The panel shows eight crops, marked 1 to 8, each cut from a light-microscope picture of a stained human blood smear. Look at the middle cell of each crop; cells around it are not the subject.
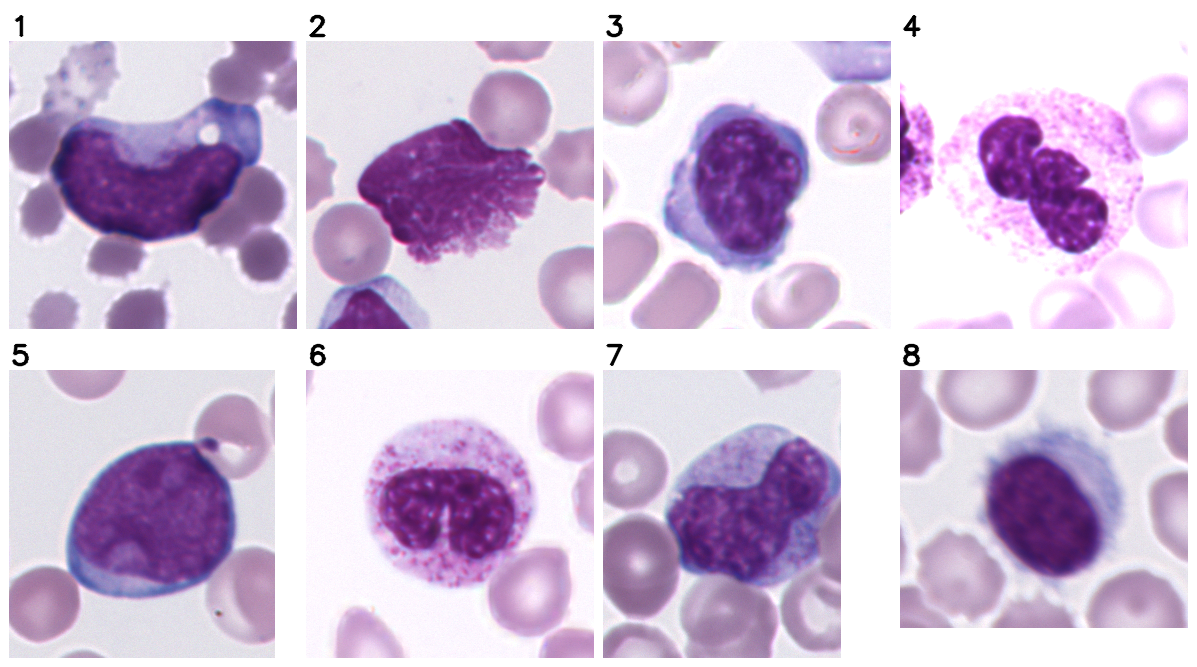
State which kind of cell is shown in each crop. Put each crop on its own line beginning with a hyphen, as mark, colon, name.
- 1: monocyte
- 2: smudge cell
- 3: plasma cell
- 4: segmented neutrophil
- 5: myeloblast
- 6: band neutrophil
- 7: monocyte
- 8: hairy cell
